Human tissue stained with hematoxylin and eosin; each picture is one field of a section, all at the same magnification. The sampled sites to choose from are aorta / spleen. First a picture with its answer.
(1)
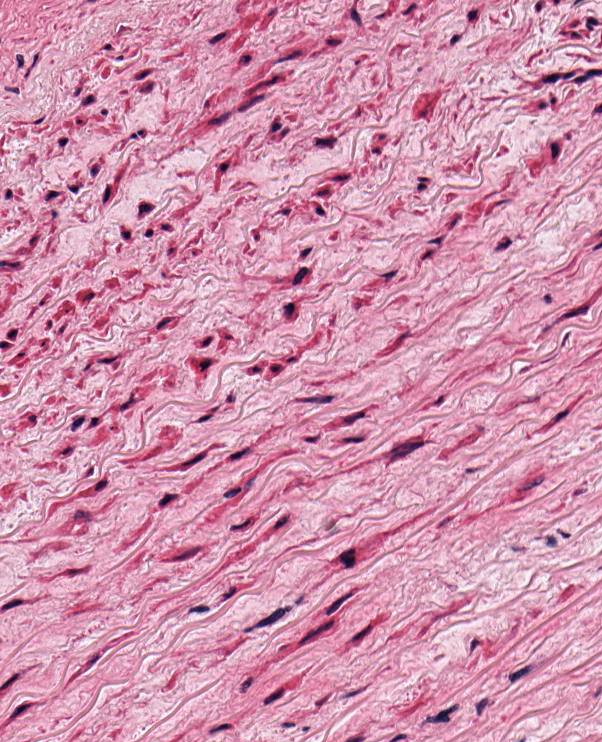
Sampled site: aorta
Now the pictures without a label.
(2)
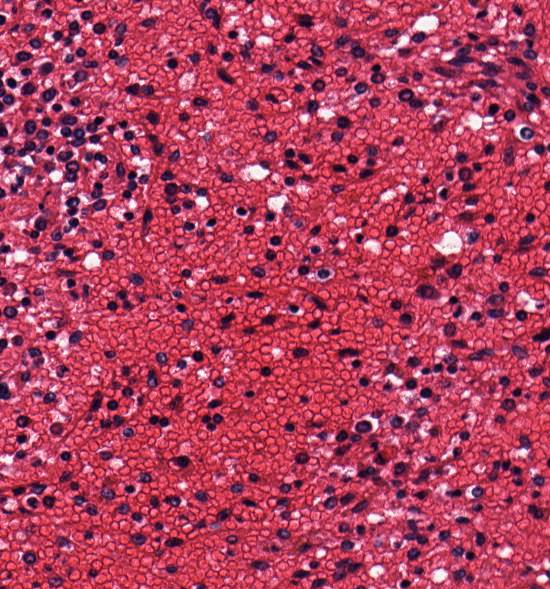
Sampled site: spleen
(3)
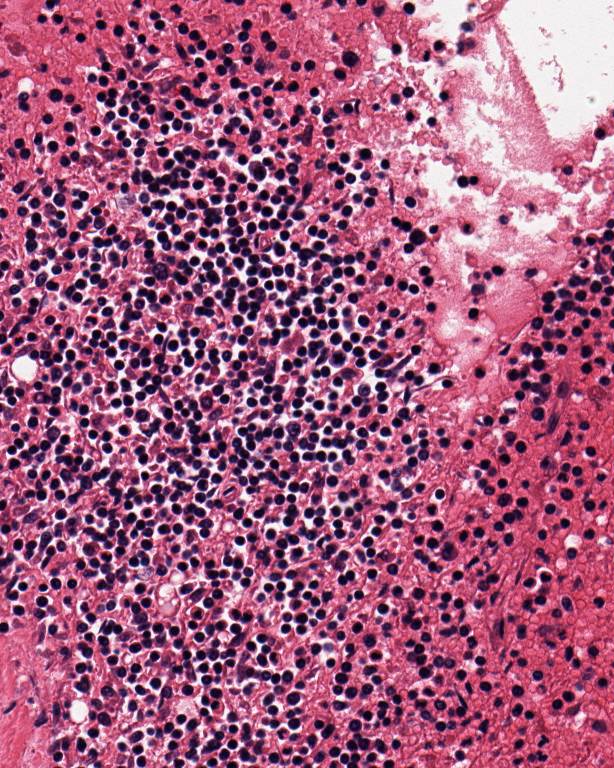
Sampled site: spleen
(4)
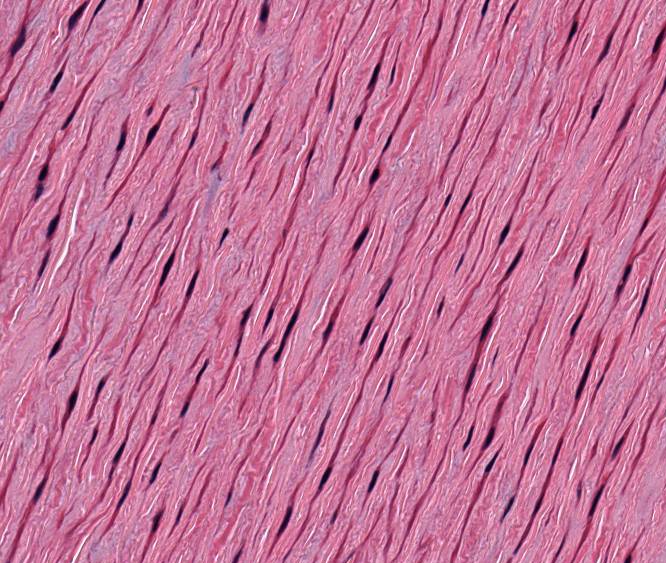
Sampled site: aorta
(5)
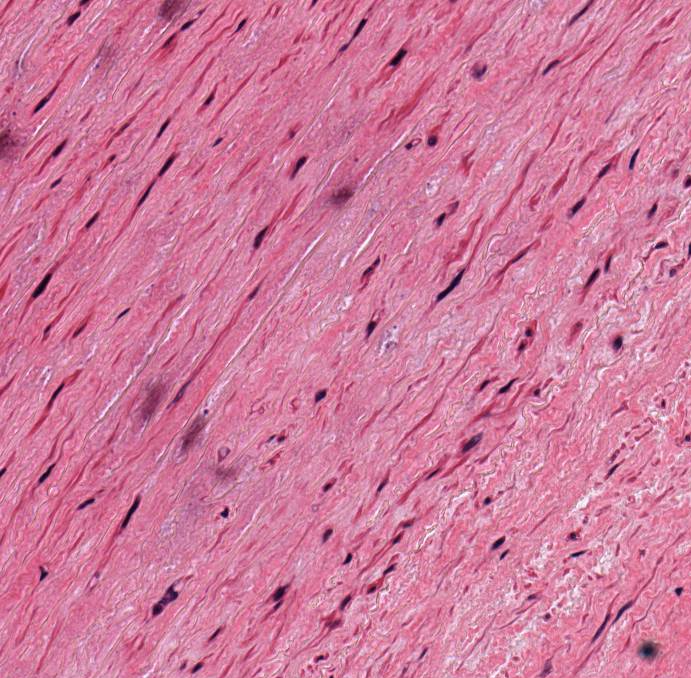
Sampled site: aorta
